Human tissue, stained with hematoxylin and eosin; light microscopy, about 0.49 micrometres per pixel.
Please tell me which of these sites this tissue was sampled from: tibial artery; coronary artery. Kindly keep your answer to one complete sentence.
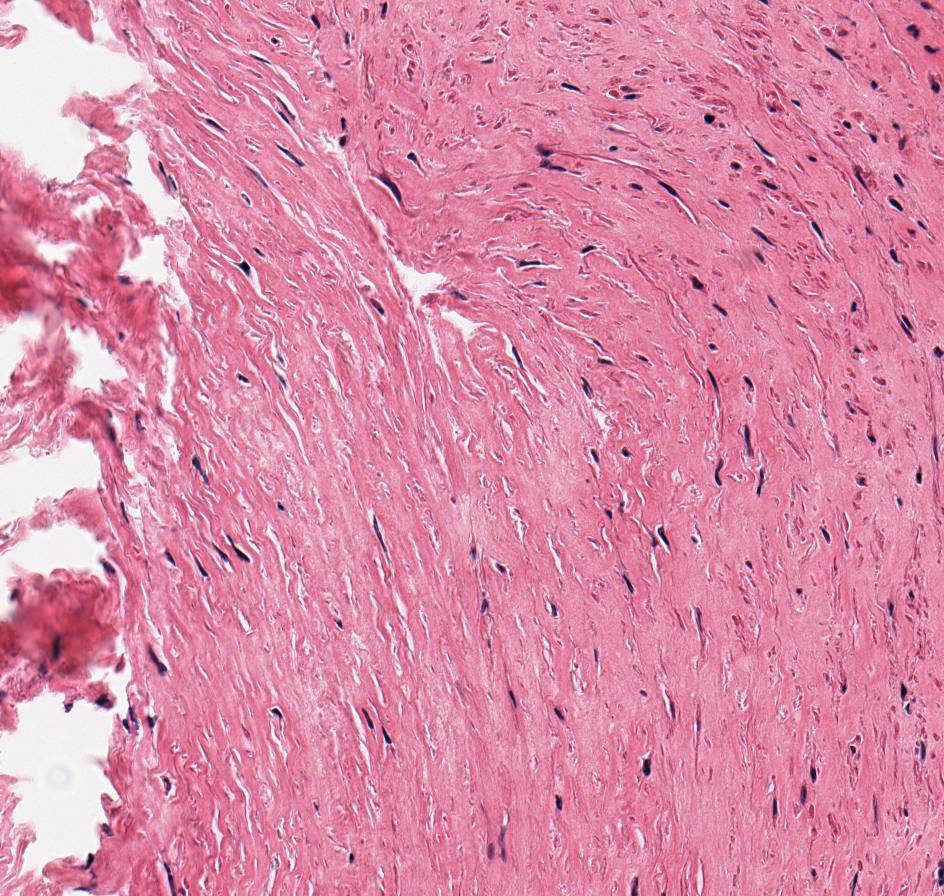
Obtained from the coronary artery, the tissue was sectioned for this slide.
